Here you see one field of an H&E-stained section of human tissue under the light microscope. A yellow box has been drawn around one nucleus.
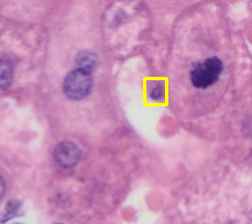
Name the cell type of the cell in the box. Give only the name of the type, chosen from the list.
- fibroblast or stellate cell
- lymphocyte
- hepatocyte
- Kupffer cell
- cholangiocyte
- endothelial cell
Kupffer cell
